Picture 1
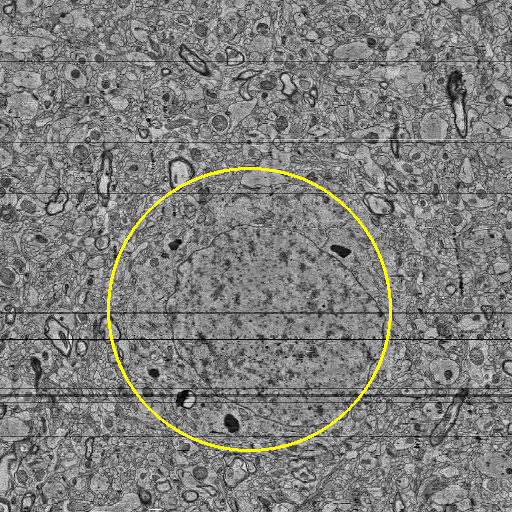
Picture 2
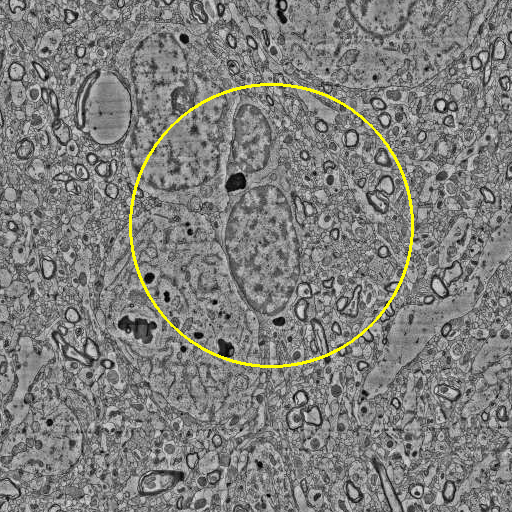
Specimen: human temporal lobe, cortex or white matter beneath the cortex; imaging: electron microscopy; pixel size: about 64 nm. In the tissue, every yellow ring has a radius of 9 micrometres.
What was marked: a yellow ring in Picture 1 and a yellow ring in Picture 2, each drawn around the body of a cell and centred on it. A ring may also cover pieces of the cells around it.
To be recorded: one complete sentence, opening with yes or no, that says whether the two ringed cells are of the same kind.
No, the two ringed cells are of two kinds.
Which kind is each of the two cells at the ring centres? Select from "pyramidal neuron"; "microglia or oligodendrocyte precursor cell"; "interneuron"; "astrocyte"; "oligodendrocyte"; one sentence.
The cell at the centre of the ring is a pyramidal neuron in the first picture and an oligodendrocyte in the second.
